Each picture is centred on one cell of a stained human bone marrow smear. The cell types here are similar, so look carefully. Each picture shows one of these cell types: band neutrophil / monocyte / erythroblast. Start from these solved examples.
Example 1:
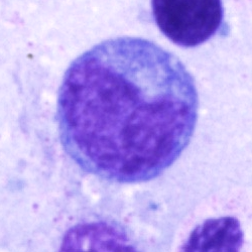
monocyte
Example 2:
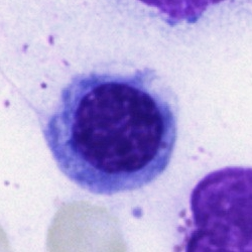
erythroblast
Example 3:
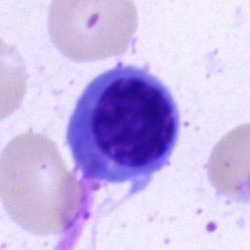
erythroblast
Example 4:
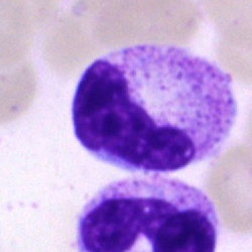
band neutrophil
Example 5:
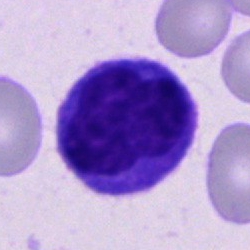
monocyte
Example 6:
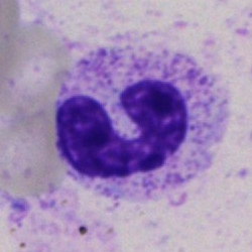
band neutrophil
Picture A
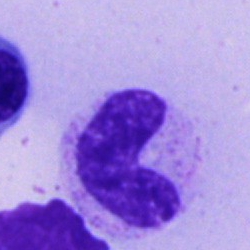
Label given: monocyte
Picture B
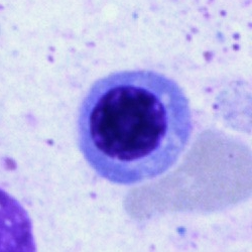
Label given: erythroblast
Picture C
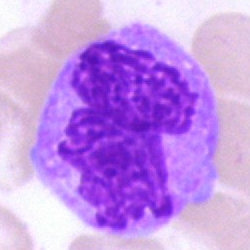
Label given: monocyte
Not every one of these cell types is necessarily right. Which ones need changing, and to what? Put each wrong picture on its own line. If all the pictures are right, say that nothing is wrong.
A is labelled monocyte; correct label: band neutrophil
